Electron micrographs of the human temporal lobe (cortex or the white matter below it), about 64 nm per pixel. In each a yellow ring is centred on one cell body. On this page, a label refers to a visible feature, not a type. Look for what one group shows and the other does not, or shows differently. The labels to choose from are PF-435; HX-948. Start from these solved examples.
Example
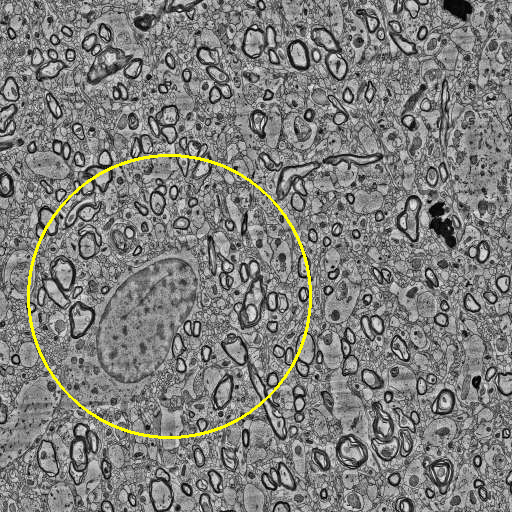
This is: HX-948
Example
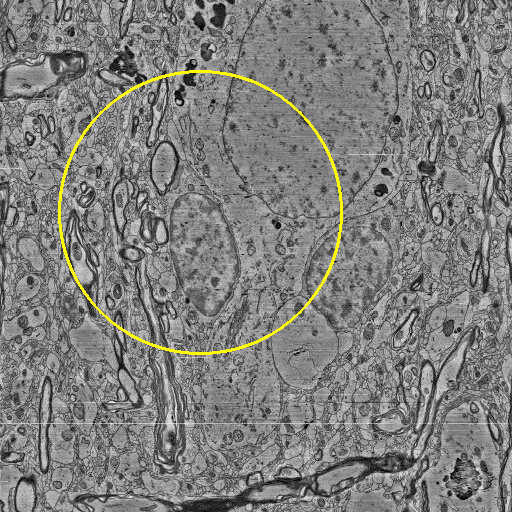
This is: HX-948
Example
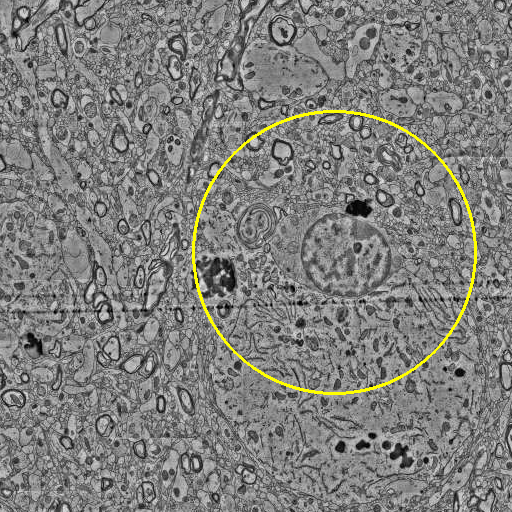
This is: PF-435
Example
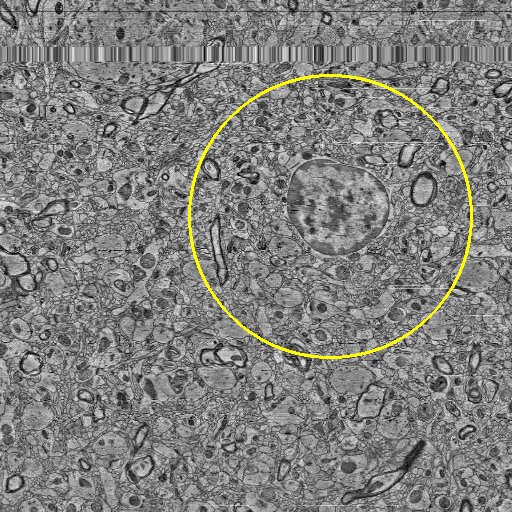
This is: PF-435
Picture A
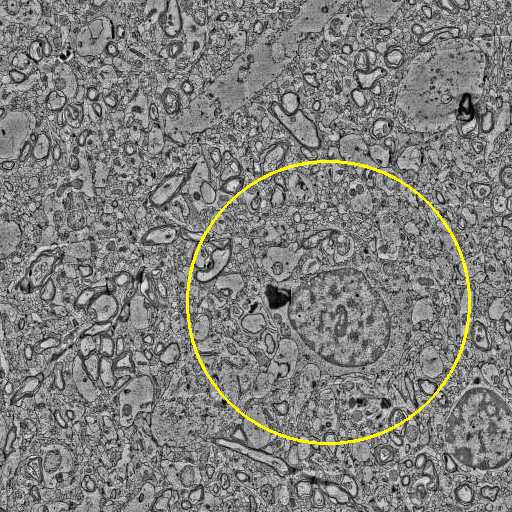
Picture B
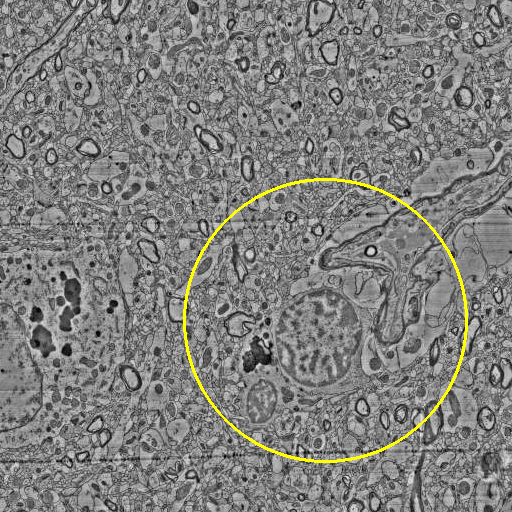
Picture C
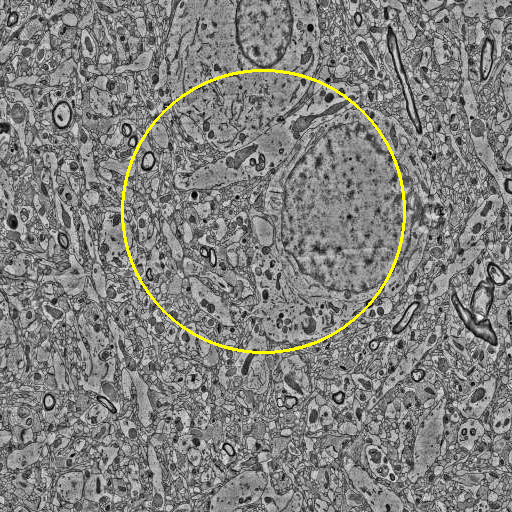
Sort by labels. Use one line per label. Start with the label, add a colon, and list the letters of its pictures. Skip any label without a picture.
PF-435: A, B, C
